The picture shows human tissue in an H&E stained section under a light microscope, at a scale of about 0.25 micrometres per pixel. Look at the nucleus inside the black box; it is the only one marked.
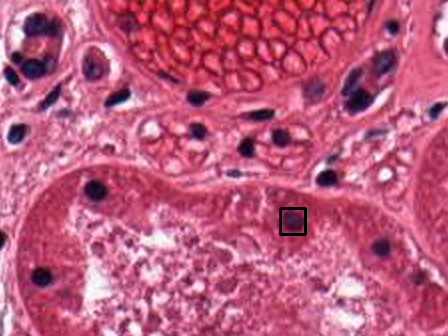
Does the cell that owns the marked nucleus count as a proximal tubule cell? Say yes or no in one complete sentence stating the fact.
Yes, the marked nucleus is a part of a proximal tubule cell.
